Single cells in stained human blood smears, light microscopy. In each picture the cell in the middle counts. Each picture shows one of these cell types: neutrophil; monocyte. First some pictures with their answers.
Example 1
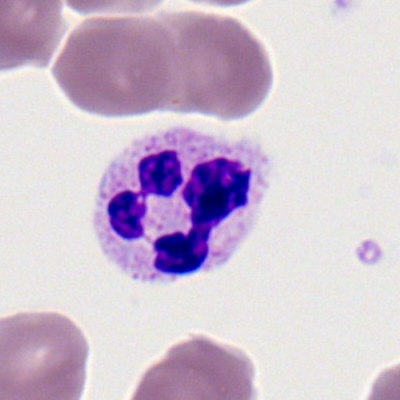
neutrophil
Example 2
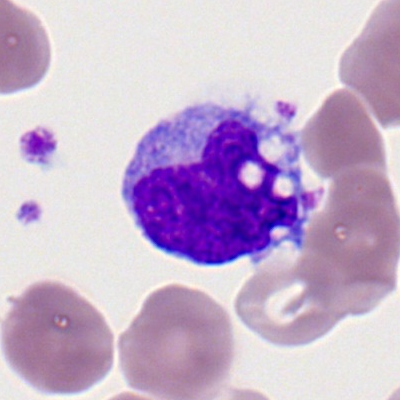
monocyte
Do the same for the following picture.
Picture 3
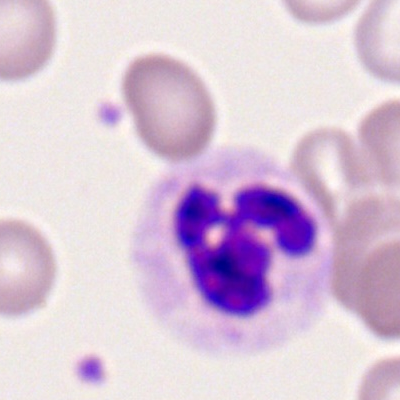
neutrophil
